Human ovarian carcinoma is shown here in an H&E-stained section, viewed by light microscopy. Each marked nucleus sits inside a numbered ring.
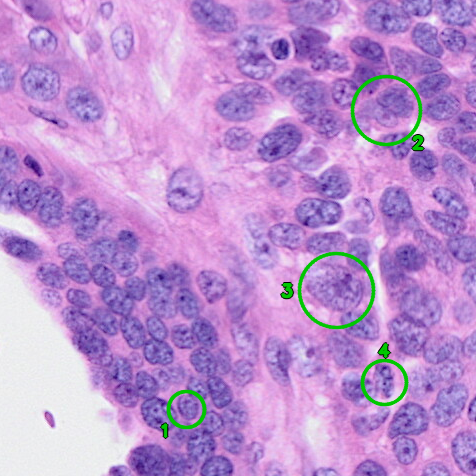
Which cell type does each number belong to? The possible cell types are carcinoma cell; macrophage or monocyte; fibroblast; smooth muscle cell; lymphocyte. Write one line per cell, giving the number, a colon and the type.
1: carcinoma cell
2: carcinoma cell
3: carcinoma cell
4: macrophage or monocyte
